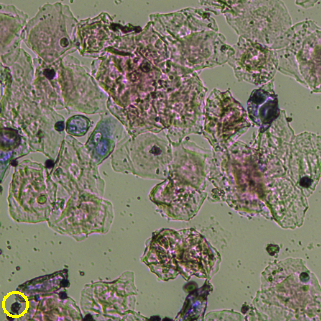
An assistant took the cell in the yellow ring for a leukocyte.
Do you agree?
I agree, it is a leukocyte.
